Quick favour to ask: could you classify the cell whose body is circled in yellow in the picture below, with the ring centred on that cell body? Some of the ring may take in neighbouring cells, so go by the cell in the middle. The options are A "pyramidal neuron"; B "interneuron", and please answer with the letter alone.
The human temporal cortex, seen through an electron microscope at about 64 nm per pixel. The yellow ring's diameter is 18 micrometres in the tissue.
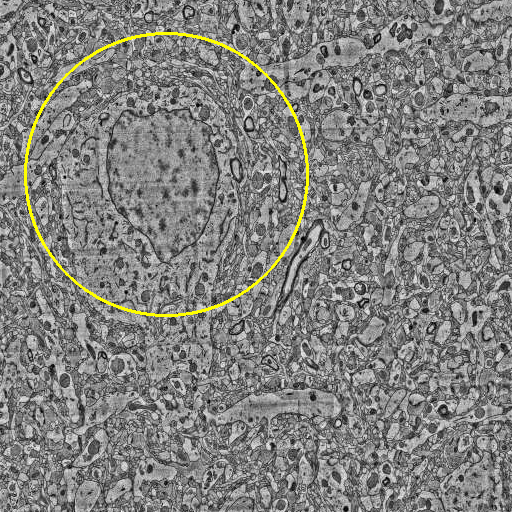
A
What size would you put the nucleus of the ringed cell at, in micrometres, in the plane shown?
The ringed cell's nucleus measures approximately 10 by 7 micrometres in this plane.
